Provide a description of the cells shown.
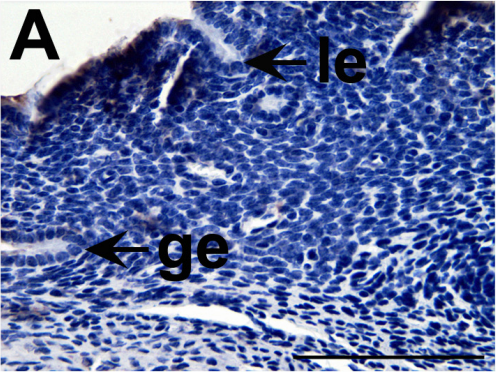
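This section shows the inner uterine wall with a surface lining epithelium at the top and a gland cut within the underlying stroma. The lining epithelium is a row of tall columnar cells with elongated, closely packed nuclei. Below it the endometrial stroma is made of small, crowded cells with oval to spindle-shaped blue nuclei and very little cytoplasm. A gland appears as a narrow slit lined by columnar cells deeper in the stroma. The tissue is almost entirely blue, with only faint brown at the luminal surface.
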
